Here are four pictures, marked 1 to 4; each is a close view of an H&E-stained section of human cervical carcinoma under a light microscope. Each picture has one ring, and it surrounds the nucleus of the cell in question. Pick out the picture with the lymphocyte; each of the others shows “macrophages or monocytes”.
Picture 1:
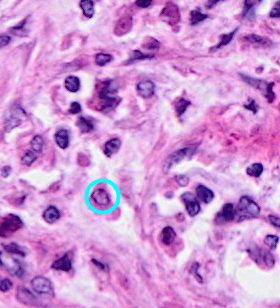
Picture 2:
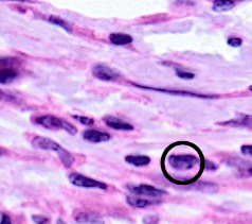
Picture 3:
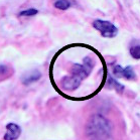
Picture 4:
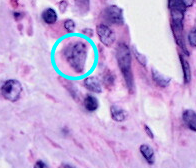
2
